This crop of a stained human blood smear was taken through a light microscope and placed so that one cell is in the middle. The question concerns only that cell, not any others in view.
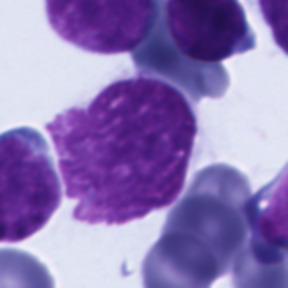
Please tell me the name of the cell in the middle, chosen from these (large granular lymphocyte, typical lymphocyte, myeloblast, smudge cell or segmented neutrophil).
smudge cell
